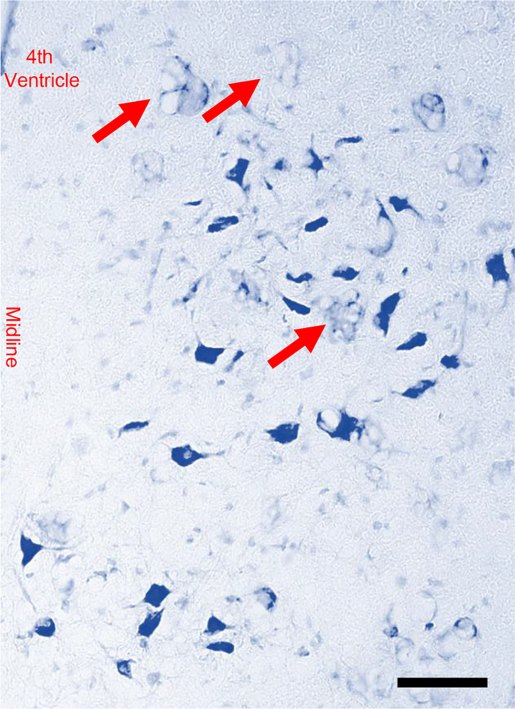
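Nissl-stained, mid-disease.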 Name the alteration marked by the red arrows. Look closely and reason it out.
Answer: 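Vacuolated regions. The arrows point to pale, rounded areas filled with small clear bubbles. These areas lie among dark blue neuronal cell bodies.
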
